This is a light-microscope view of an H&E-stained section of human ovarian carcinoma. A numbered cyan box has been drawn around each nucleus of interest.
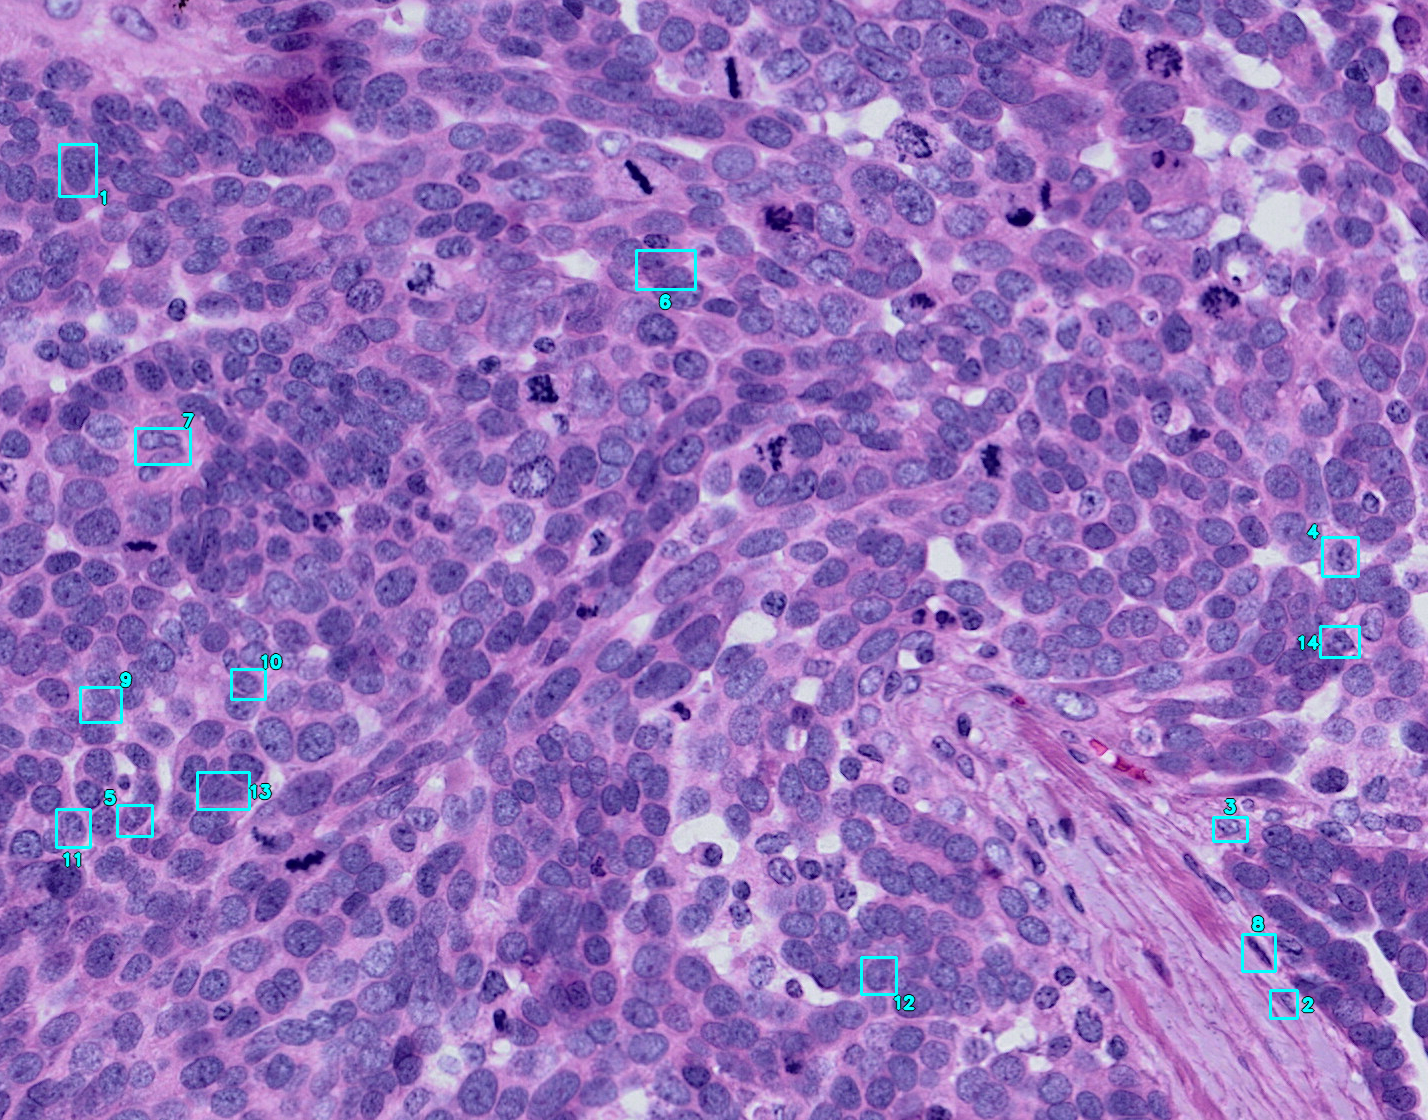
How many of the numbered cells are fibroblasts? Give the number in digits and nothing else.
4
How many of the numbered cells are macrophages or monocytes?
2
